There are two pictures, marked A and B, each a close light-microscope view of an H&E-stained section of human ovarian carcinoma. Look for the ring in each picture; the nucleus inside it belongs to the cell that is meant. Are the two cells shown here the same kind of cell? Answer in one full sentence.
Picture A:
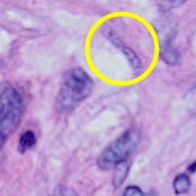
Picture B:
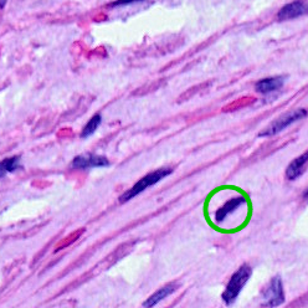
Yes, they are the same type: both are fibroblasts.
